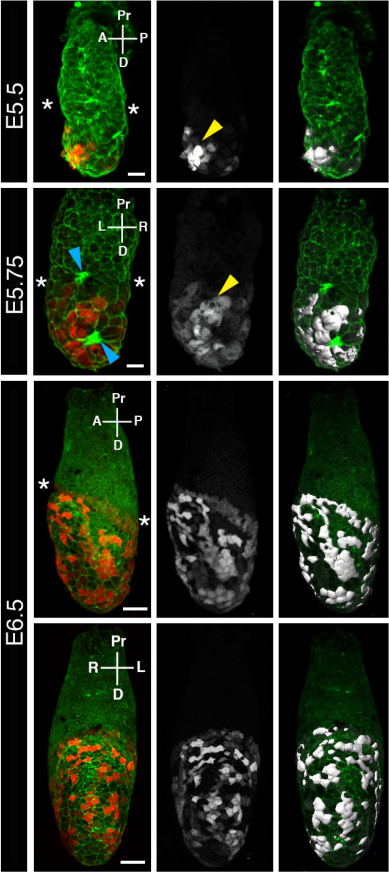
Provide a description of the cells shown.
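In the later embryos many scattered red cells cover the lower half of the cylinder, seen from the side and from the front, while the upper part carries no label. At some places several cell outlines converge on a bright green central point, forming radial, rosette-like arrangements. Surface renderings present the labelled cells as white, rounded bodies lying among the green outlined cells.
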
